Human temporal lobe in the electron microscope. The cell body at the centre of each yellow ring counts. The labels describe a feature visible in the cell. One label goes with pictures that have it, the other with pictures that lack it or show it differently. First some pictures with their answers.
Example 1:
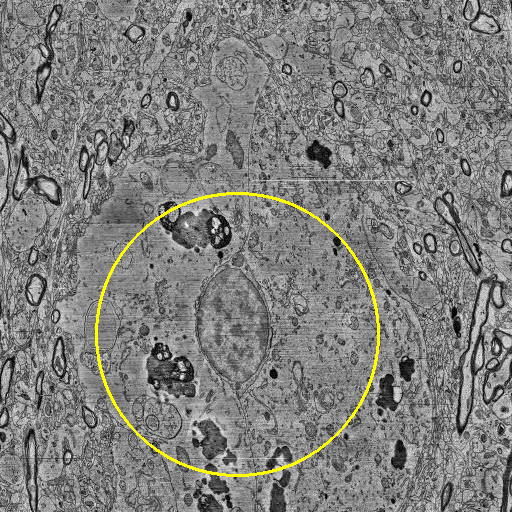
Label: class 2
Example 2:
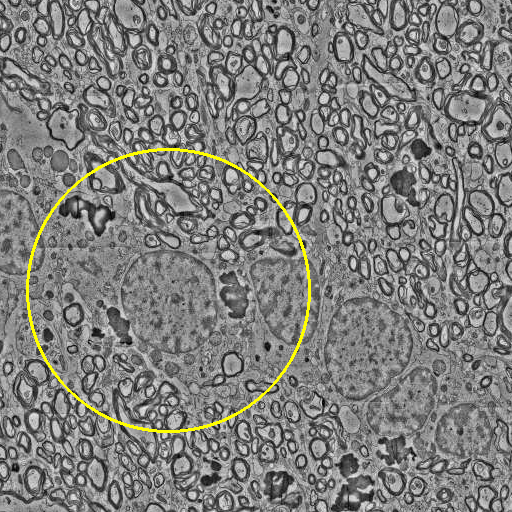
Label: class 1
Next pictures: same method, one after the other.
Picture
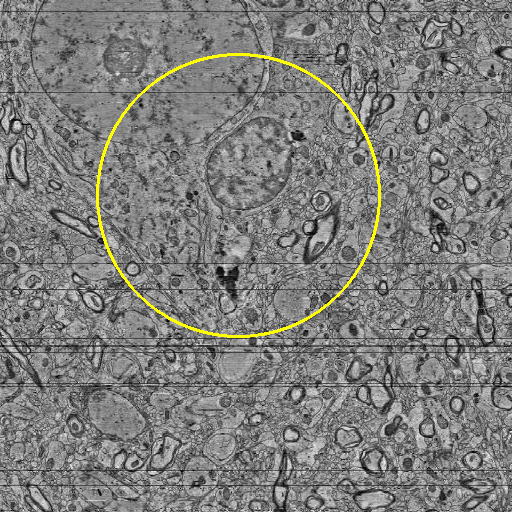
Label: class 1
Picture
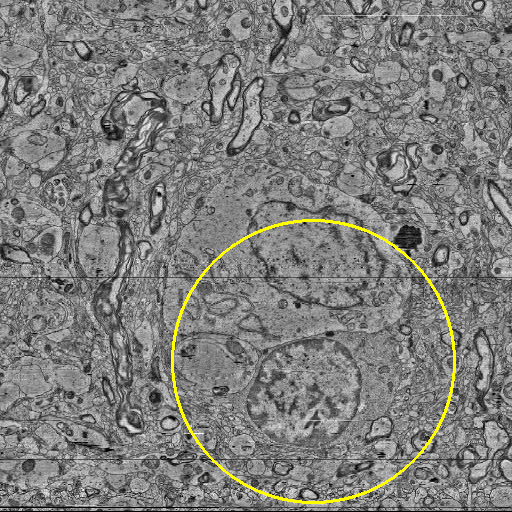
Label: class 1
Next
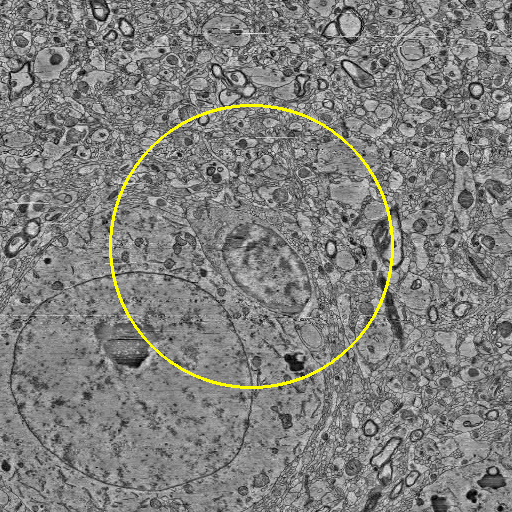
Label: class 2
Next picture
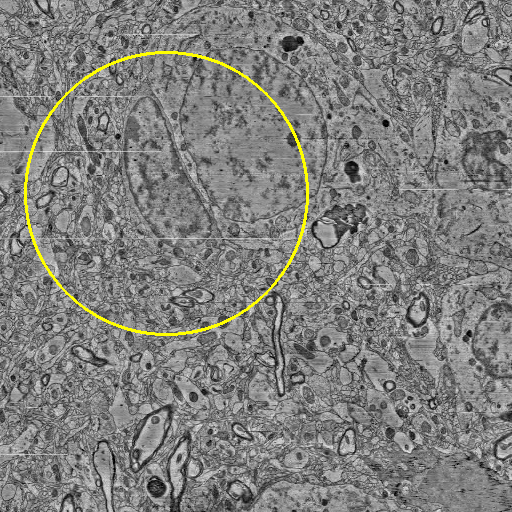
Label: class 2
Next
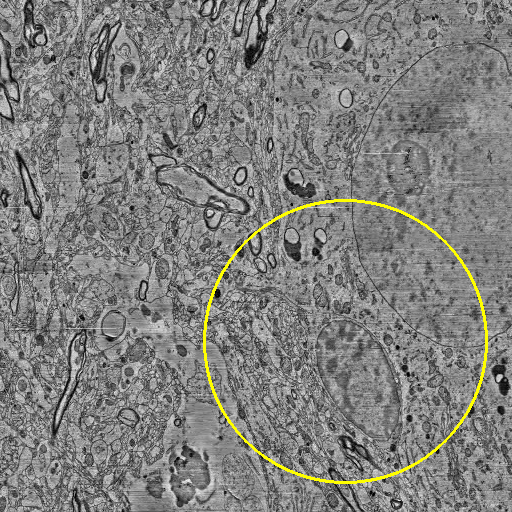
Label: class 2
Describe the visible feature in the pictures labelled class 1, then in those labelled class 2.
class 1, round or nearly round nuclei; class 2, clearly elongated nuclei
